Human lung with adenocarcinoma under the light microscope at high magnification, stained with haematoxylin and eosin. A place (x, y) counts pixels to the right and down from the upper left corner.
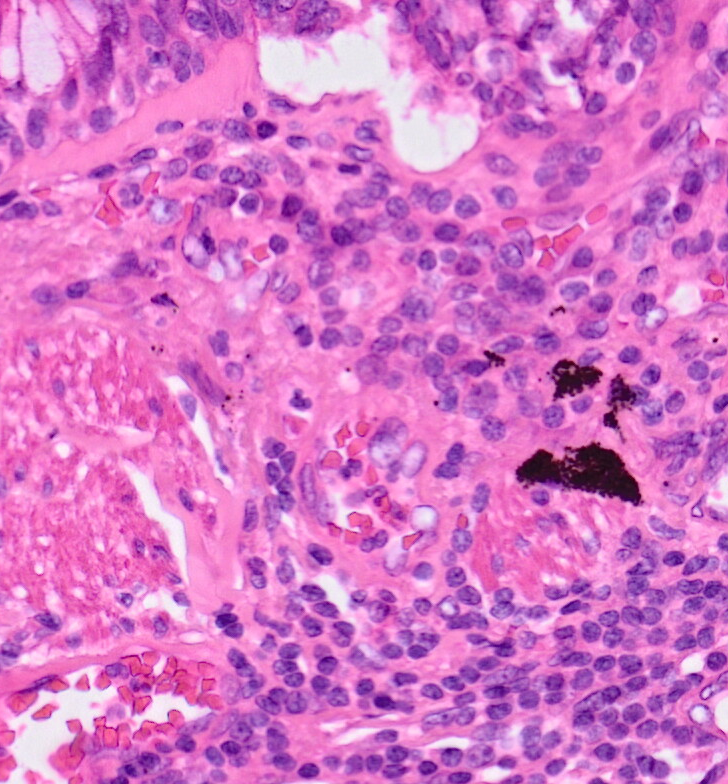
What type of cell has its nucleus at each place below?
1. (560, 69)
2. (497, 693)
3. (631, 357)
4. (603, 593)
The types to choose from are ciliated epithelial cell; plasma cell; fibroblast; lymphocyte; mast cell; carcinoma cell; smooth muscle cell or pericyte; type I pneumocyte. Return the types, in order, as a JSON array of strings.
["ciliated epithelial cell", "lymphocyte", "lymphocyte", "lymphocyte"]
